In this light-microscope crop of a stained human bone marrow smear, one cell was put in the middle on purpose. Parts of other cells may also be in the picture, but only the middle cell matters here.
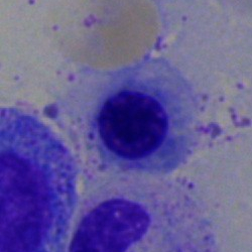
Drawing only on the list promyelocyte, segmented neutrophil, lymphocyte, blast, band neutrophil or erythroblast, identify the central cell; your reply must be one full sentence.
Centred in the crop is an erythroblast.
